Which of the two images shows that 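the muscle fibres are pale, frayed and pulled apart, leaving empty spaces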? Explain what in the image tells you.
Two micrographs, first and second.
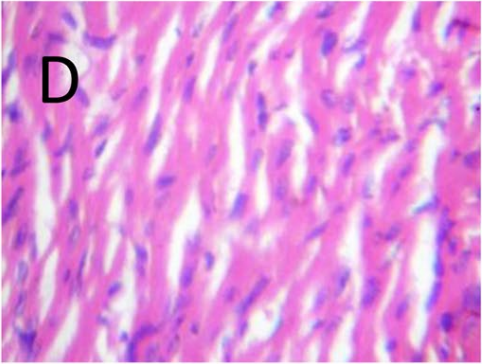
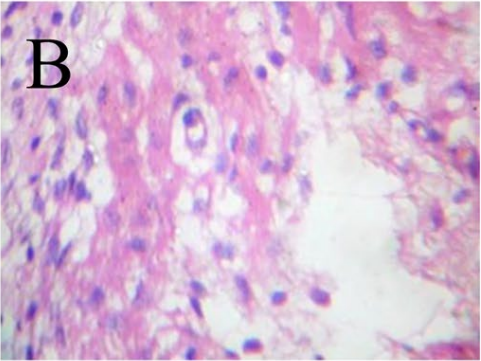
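First image: closely packed, deeply pink, parallel fibres with elongated nuclei. Second image: pale, loose, wispy fibres with a large empty area and scattered nuclei. That points to this answer: the second image.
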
